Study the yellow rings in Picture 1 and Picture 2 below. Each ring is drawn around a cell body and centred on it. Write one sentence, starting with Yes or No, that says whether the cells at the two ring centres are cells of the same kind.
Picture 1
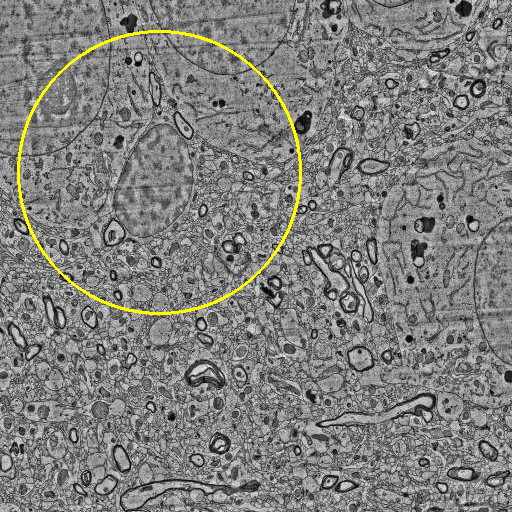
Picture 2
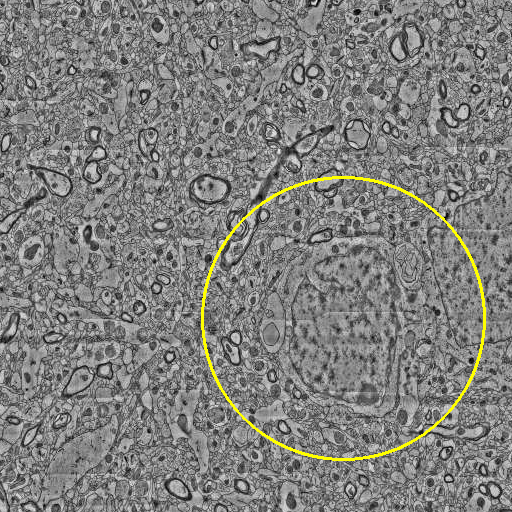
No, the cells at the ring centres are of two kinds.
